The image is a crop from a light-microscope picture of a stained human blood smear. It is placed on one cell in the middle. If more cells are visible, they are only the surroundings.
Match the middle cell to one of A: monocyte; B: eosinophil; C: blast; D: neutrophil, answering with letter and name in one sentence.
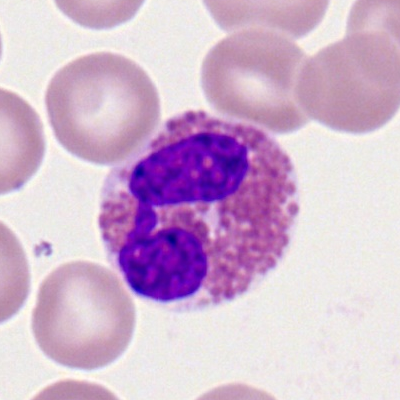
In this crop the middle cell is an eosinophil, so option B is the correct answer.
